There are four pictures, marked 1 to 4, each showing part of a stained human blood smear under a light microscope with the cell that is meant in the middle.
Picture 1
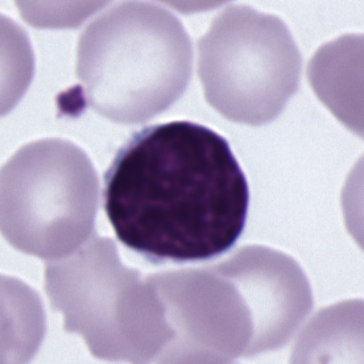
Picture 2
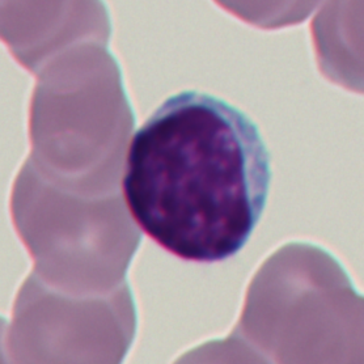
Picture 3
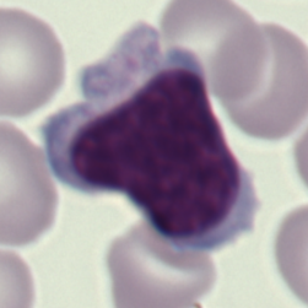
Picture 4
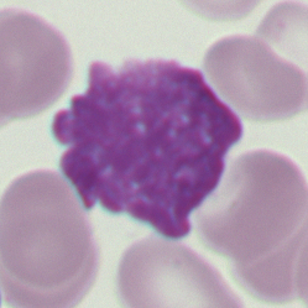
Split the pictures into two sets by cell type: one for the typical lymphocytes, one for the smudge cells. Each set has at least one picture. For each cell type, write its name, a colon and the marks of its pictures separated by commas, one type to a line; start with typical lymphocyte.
typical lymphocyte: 1, 2, 3
smudge cell: 4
